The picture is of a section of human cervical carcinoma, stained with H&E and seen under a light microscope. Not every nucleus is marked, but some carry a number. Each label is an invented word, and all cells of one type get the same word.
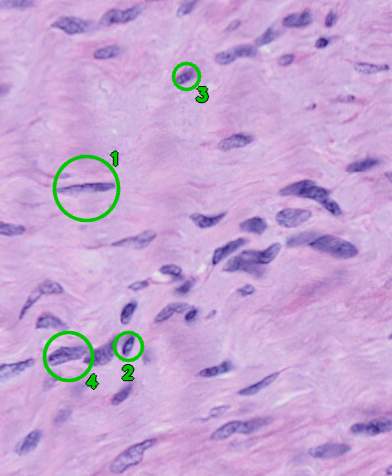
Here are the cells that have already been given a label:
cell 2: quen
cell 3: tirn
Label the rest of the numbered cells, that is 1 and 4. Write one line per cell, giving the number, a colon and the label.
1: quen
4: quen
